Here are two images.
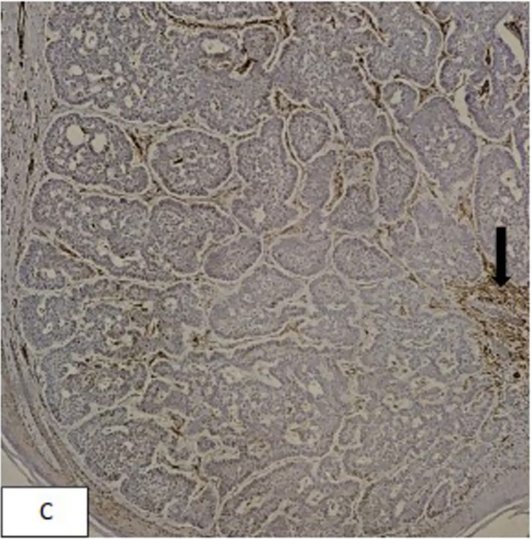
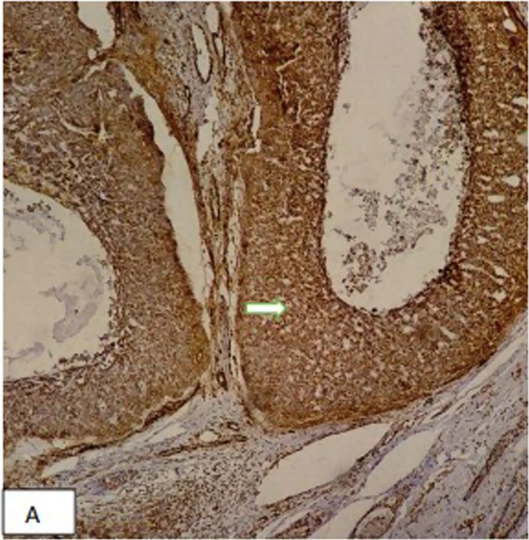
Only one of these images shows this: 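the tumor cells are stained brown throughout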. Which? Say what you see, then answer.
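First image: the tumor nests are pale blue-grey, with brown limited to thin stromal strands. Second image: the tumor islands are intensely and evenly brown. That points to this answer: the second image.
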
